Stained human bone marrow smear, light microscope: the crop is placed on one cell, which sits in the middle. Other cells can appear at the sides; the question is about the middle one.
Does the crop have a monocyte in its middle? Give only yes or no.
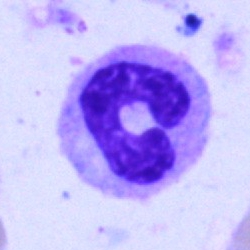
no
